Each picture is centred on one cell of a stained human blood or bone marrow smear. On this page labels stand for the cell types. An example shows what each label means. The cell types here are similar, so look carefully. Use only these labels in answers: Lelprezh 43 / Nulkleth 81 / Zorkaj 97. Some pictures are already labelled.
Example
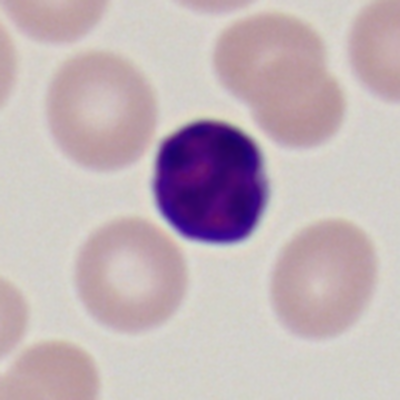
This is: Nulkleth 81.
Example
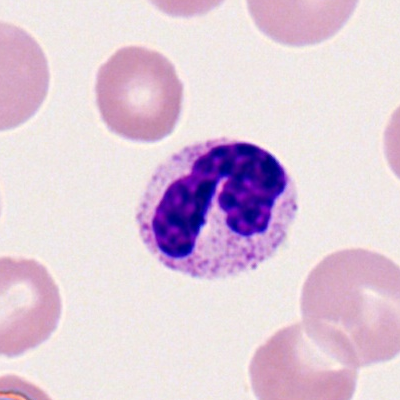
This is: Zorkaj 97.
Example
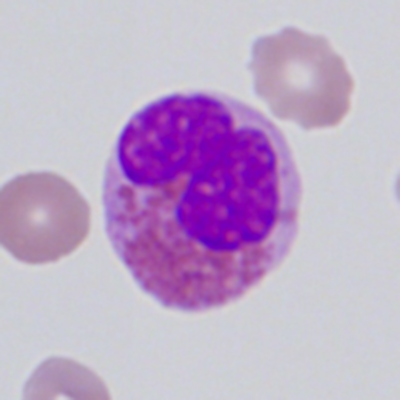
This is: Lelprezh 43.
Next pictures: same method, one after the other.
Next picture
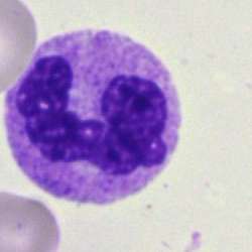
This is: Zorkaj 97.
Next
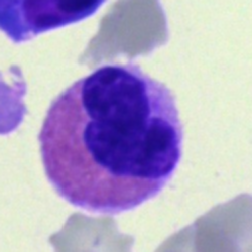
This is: Lelprezh 43.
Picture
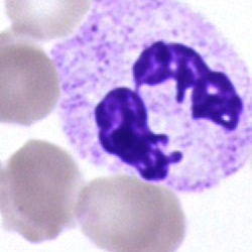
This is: Zorkaj 97.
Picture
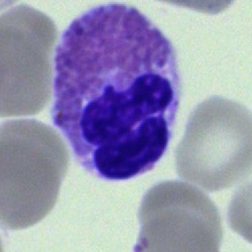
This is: Lelprezh 43.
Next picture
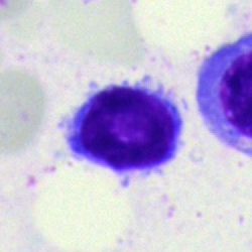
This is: Nulkleth 81.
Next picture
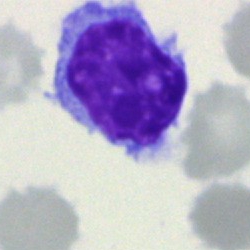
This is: Nulkleth 81.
